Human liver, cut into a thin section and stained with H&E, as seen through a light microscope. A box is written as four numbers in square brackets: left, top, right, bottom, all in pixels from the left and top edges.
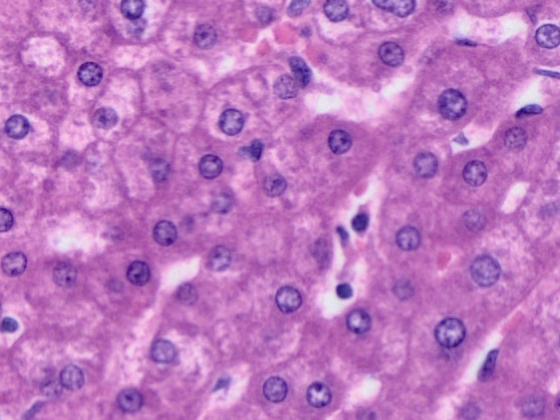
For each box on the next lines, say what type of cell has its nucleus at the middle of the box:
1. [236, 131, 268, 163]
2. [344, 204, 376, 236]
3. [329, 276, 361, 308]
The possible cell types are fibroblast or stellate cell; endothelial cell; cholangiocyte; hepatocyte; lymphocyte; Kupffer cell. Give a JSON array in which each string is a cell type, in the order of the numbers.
["fibroblast or stellate cell", "lymphocyte", "lymphocyte"]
